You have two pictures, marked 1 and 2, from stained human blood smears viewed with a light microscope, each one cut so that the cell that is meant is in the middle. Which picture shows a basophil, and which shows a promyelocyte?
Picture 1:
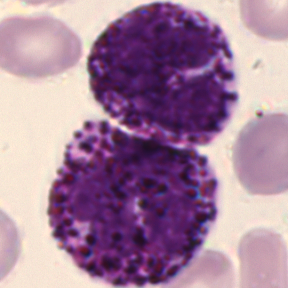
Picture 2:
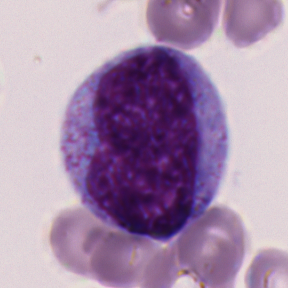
1: basophil
2: promyelocyte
